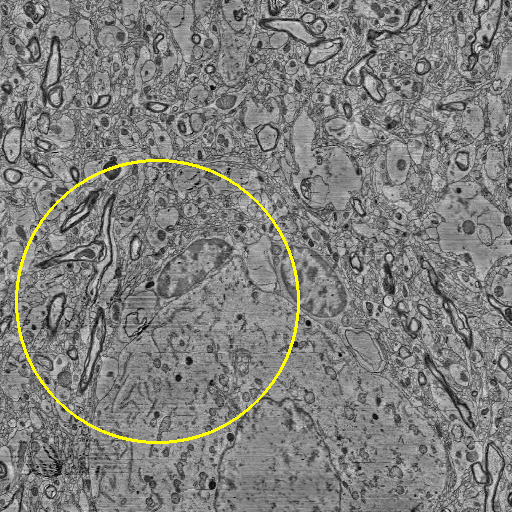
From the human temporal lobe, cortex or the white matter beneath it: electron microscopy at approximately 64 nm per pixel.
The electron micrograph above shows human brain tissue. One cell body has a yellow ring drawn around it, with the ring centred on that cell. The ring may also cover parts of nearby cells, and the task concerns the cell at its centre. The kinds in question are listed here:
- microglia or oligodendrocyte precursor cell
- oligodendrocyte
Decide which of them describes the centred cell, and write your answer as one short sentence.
The centred cell is a microglial cell or oligodendrocyte precursor cell.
